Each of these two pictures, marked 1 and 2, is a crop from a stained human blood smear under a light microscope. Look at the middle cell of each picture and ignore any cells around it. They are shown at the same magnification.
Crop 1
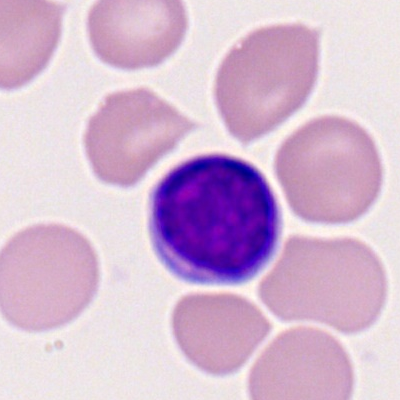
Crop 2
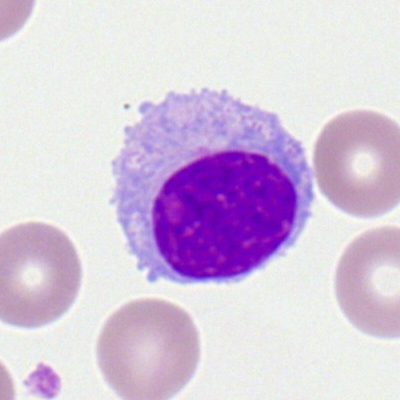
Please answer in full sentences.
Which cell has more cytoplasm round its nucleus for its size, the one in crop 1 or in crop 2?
It is the cell in crop 2 that is filled less by its nucleus.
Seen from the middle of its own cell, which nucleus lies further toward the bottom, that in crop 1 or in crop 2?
It is the nucleus in crop 2 that lies further toward the bottom of its cell.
